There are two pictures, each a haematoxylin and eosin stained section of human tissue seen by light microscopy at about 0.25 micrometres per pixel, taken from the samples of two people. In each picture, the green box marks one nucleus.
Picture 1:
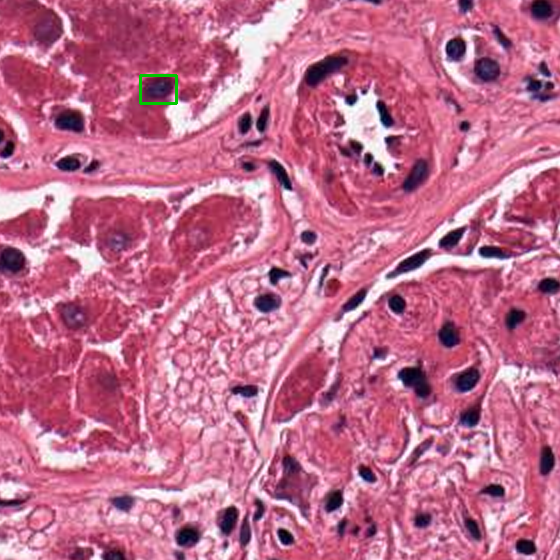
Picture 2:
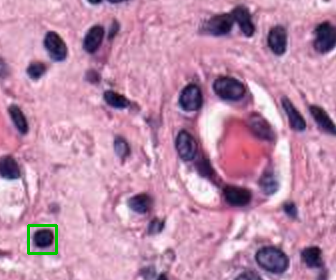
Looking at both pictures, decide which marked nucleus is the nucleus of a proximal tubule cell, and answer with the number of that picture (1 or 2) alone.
1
